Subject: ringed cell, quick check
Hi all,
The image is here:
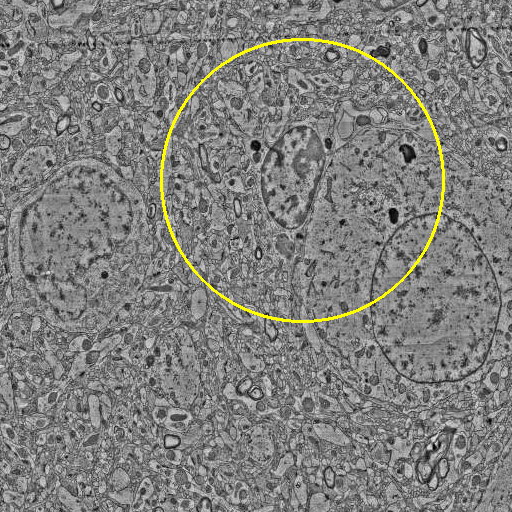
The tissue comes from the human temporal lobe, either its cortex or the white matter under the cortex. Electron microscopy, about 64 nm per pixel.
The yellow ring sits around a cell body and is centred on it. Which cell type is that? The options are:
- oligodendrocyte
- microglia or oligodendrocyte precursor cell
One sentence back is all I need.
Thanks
That ringed cell is a microglial cell or oligodendrocyte precursor cell.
